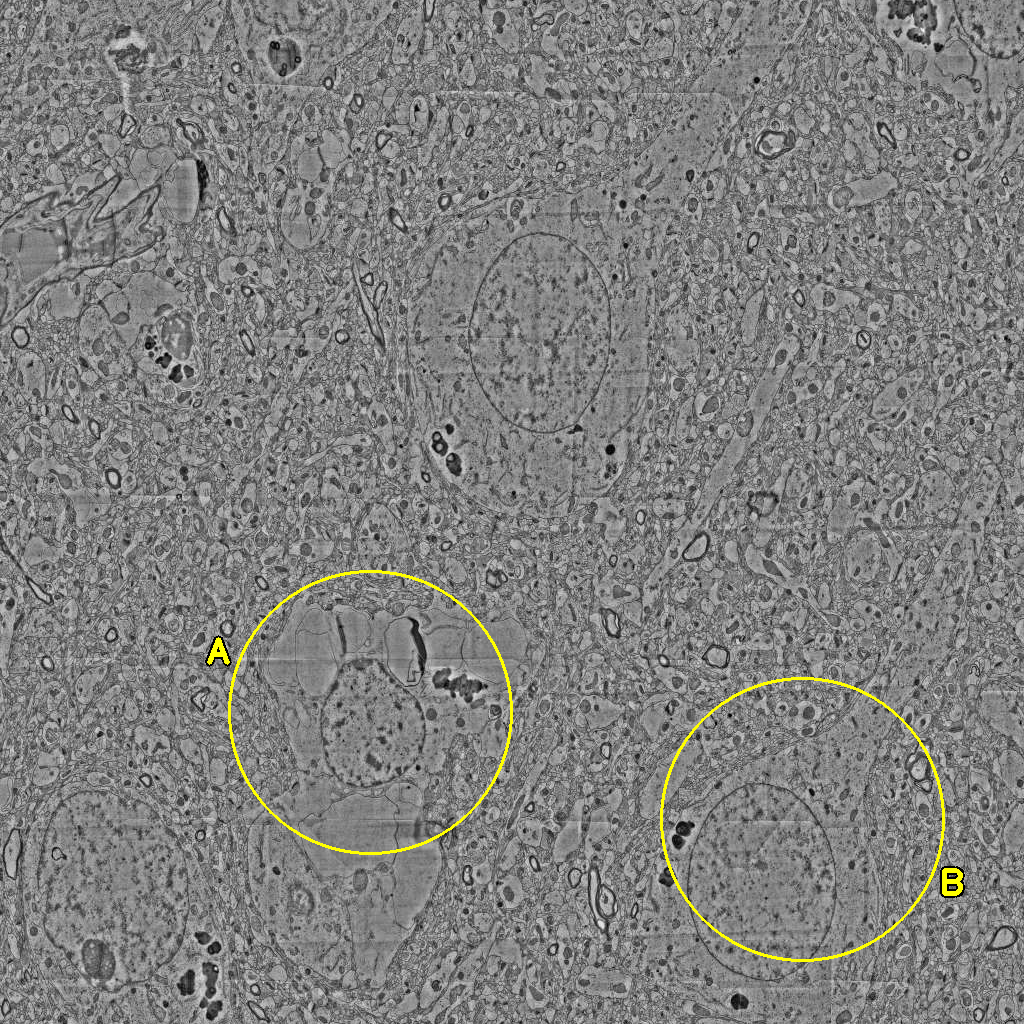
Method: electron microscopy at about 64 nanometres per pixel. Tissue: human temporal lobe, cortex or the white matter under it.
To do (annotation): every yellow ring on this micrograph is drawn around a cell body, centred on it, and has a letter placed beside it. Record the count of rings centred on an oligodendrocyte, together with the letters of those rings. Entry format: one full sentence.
Since no ring is centred on an oligodendrocyte, the count of such rings is zero.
